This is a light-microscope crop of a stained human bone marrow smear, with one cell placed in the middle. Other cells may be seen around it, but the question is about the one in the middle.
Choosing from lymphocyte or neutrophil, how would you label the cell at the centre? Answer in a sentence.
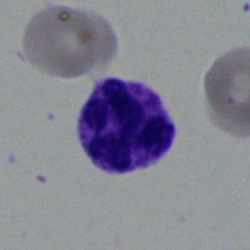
Whatever else lies nearby, the middle cell is a neutrophil.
